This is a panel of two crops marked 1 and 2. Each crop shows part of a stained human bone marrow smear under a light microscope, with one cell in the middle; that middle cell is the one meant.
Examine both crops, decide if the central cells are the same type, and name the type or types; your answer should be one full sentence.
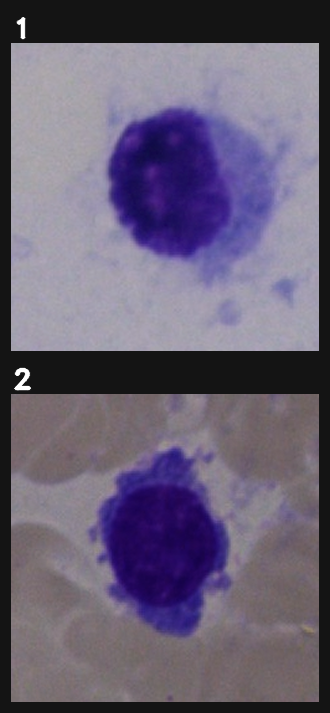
No, the central cell of crop 1 is a hairy cell; that of crop 2 is a plasma cell.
